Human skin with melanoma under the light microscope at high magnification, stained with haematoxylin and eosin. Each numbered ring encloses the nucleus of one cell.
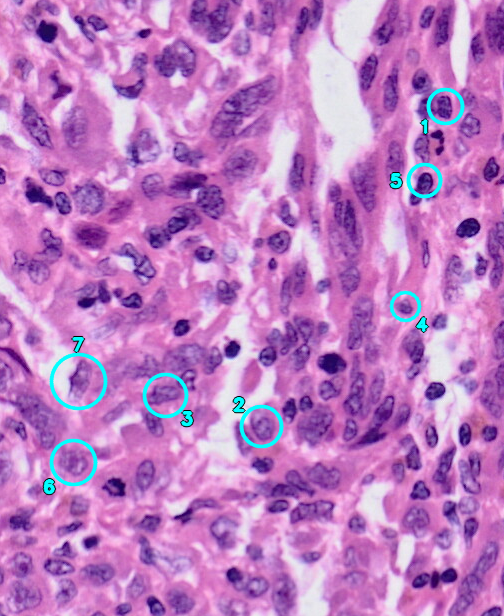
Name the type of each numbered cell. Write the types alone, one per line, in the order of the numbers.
lymphocyte
melanoma cell
melanoma cell
lymphocyte
lymphocyte
melanoma cell
melanoma cell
